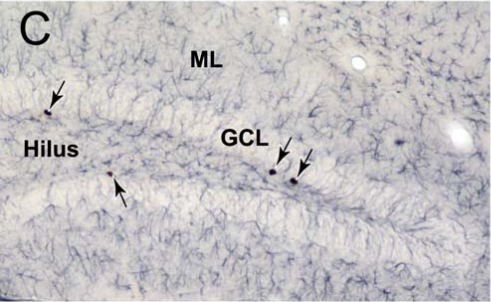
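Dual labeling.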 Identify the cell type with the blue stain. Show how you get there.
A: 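Blue cells are small and star-shaped with many fine branching processes. They are scattered evenly through the tissue outside the pale cell band. Thin blue radial processes cross the pale band.
Conclusion: glial cells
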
